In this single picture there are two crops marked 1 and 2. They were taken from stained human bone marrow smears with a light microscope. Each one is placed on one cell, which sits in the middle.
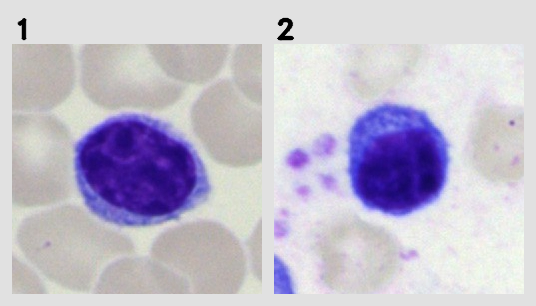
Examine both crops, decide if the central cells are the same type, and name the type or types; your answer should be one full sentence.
Yes, both crops show a cell each, and these are lymphocytes.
